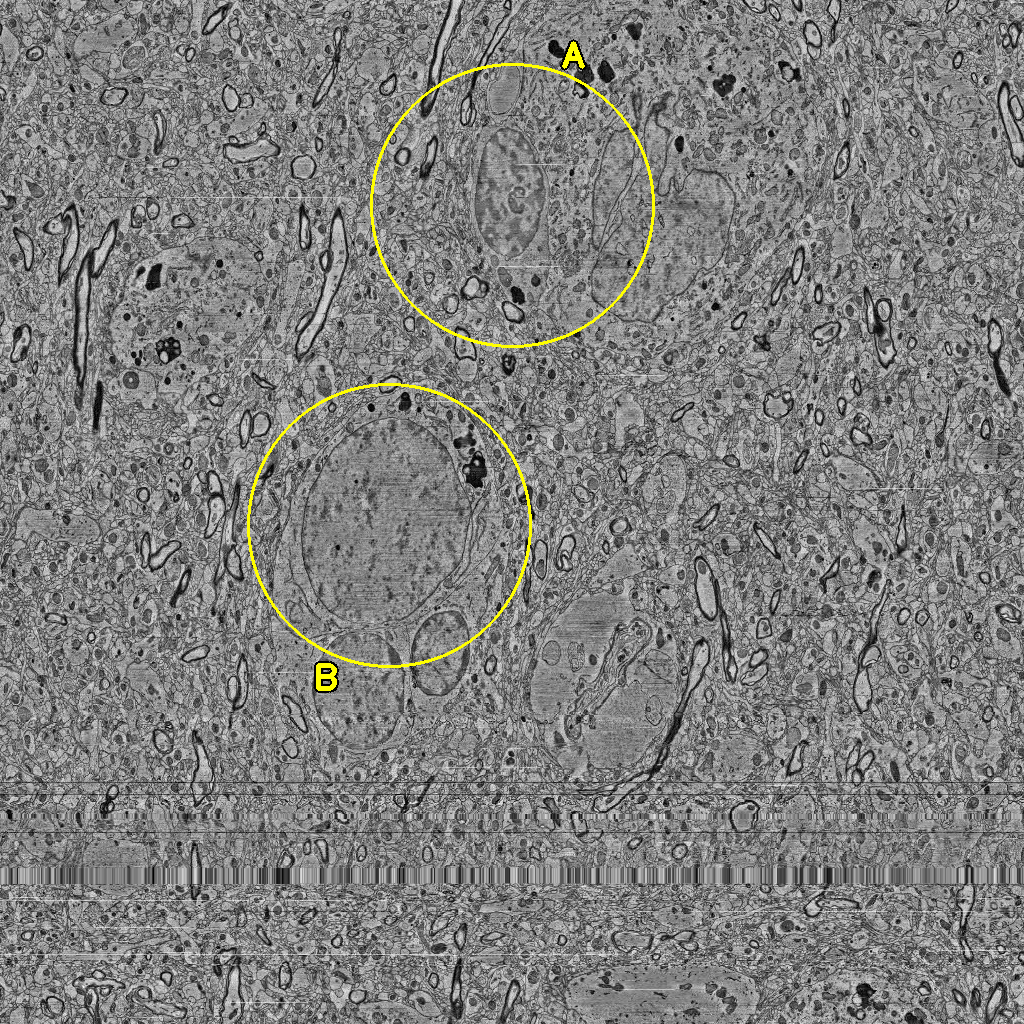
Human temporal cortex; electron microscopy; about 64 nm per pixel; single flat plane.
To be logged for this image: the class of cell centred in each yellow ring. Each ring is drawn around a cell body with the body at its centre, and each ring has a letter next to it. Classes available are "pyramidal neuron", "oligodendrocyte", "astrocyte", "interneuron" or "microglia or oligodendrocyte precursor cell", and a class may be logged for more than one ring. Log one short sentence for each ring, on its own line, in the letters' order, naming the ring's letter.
The class recorded for ring A is an oligodendrocyte.
The class recorded for ring B is a pyramidal neuron.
